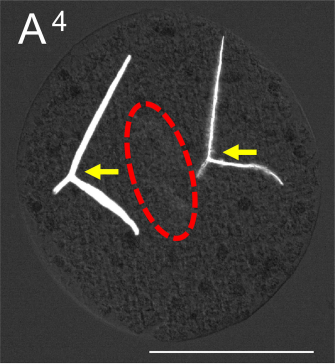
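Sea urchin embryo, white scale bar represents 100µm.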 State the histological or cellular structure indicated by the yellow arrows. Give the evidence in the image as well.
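Each yellow arrow points to a bright rod-like element. Each element branches into three arms from one point. The two elements lie on either side of the embryo's centre. That points to this answer: tri-radiate spicules.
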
